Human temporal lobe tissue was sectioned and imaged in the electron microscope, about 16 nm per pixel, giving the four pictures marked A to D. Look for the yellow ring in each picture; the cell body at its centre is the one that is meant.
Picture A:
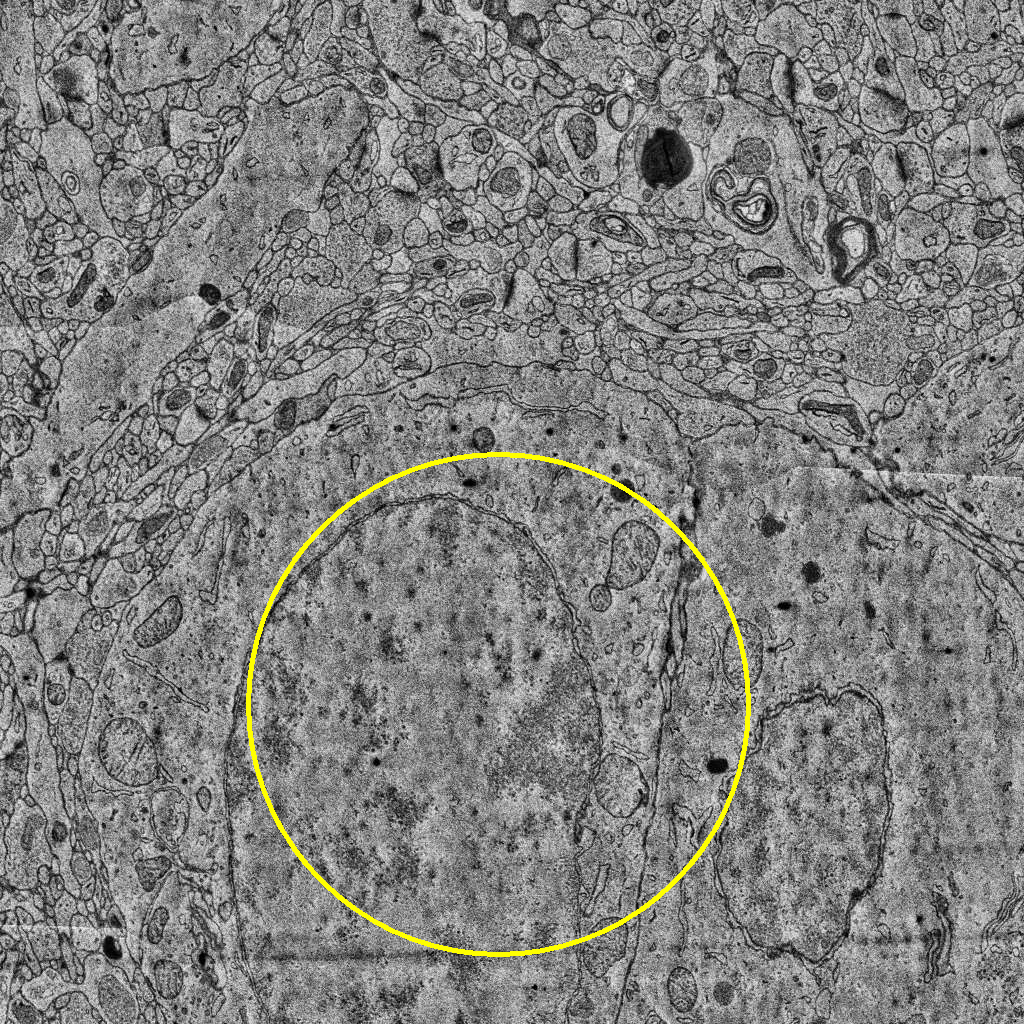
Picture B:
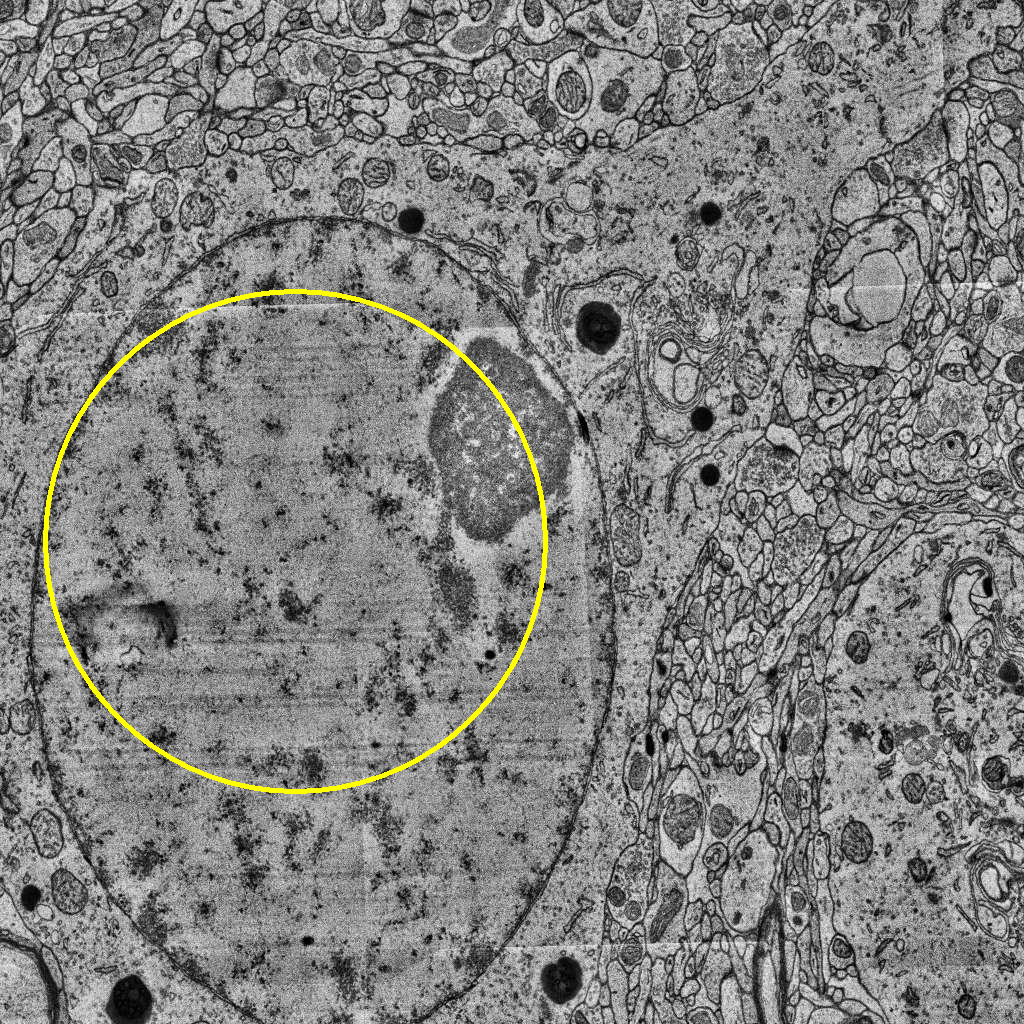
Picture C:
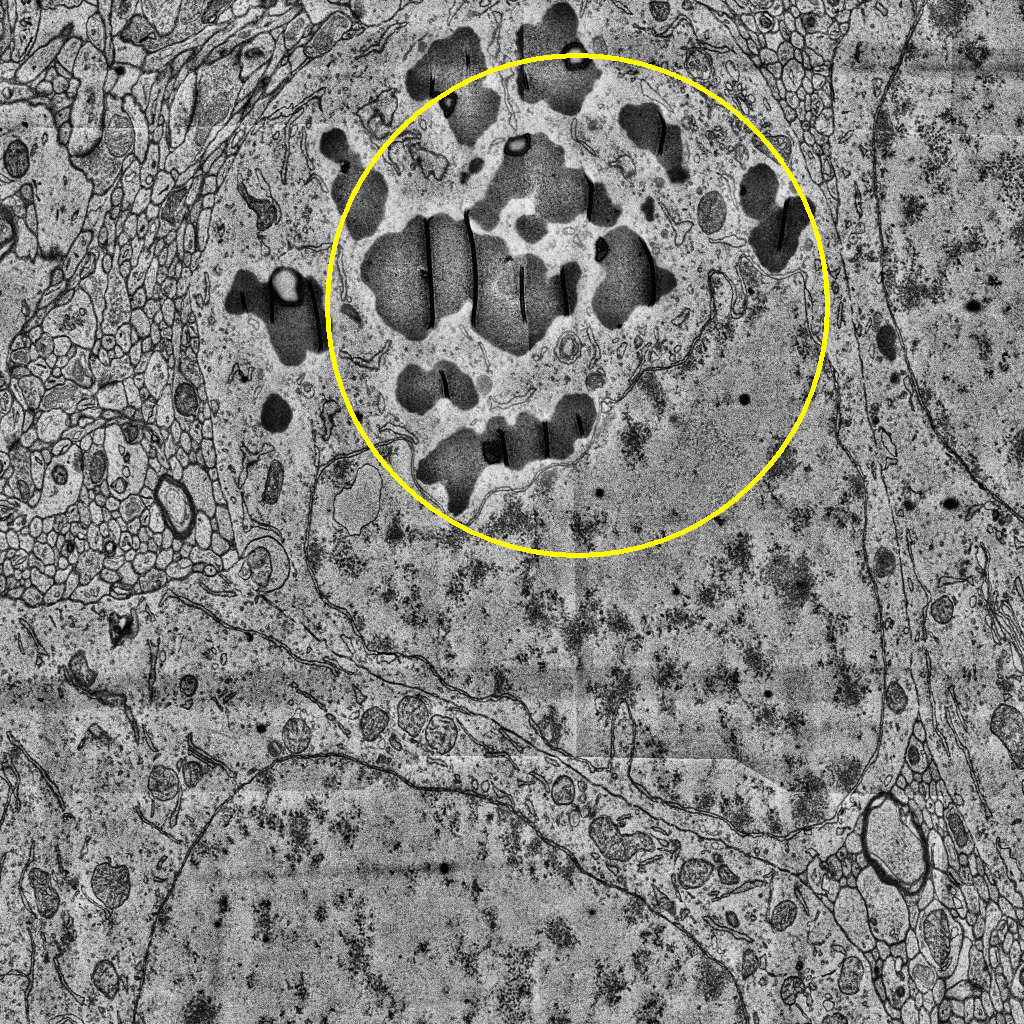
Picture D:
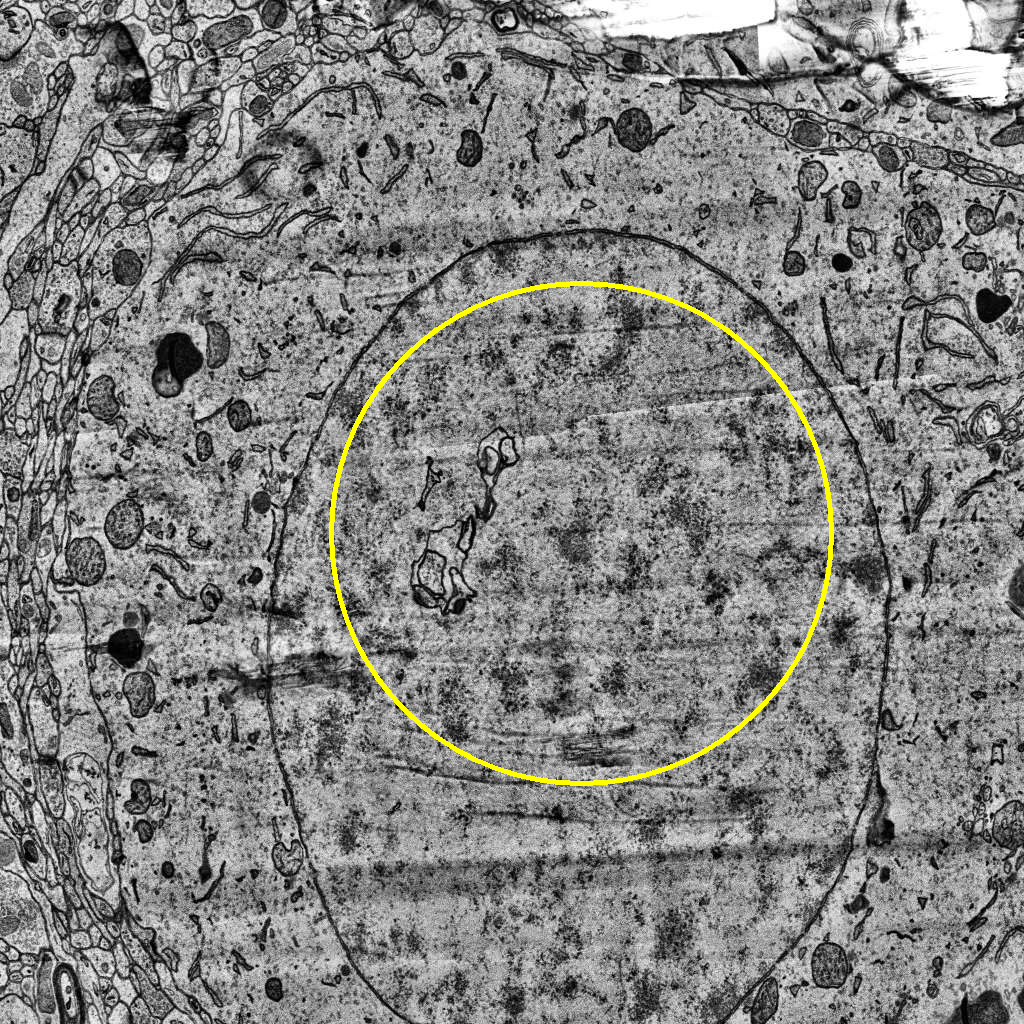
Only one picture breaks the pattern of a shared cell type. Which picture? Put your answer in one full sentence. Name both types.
The others show pyramidal neurons, but picture C shows an interneuron.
